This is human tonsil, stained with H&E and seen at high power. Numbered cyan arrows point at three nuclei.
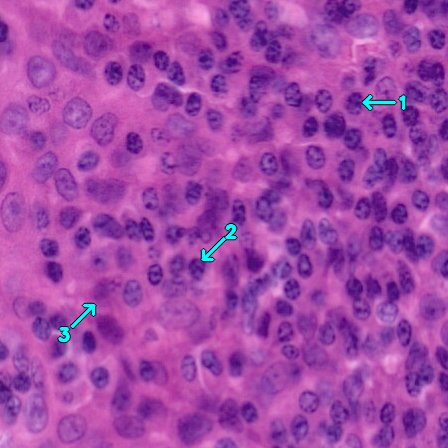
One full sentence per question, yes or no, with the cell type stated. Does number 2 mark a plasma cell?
Yes, in this section the cell numbered 2 is a plasma cell.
